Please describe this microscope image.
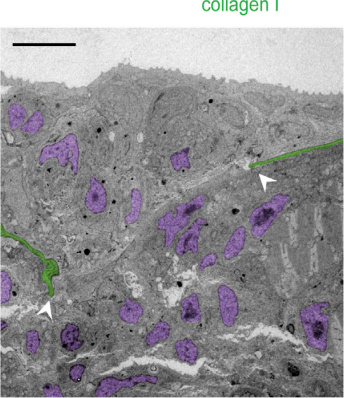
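A thin green-shaded basement membrane runs through the tissue but is interrupted, leaving a gap. Cells crowd through and around that gap, and flattened cells line the upper surface.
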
